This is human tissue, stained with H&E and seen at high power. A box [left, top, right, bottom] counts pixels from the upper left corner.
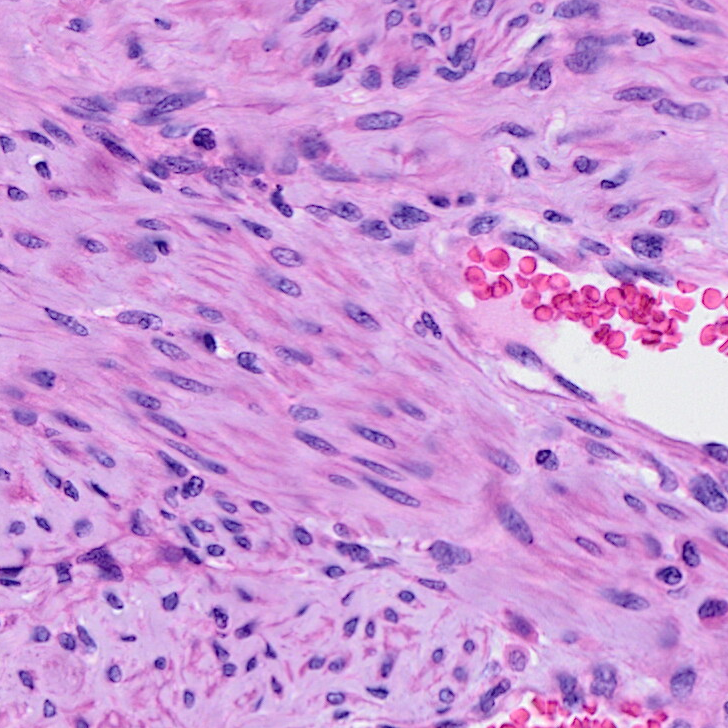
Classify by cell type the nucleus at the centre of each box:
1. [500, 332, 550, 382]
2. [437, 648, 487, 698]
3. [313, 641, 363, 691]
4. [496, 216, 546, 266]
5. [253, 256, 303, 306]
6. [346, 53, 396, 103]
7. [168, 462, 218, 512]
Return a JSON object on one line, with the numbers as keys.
{"1": "endothelial cell", "2": "smooth muscle cell", "3": "smooth muscle cell", "4": "endothelial cell", "5": "smooth muscle cell", "6": "smooth muscle cell", "7": "lymphocyte"}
